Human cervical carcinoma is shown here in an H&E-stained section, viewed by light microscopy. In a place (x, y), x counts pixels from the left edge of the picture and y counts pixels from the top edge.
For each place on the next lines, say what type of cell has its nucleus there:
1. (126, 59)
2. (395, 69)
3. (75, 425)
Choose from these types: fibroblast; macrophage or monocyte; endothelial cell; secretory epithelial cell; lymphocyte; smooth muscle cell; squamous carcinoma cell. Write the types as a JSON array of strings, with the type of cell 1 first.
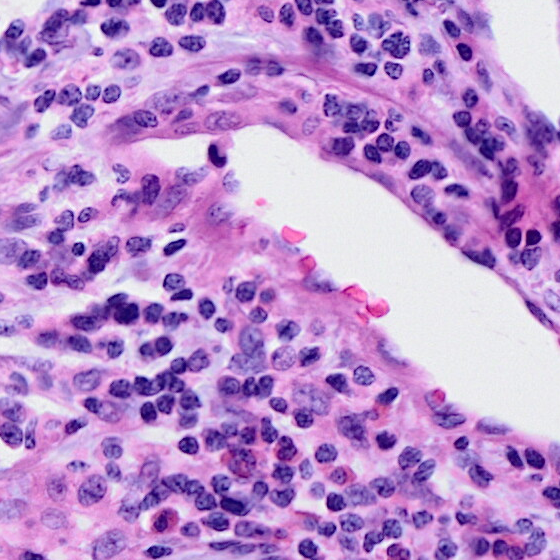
["macrophage or monocyte", "lymphocyte", "lymphocyte"]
